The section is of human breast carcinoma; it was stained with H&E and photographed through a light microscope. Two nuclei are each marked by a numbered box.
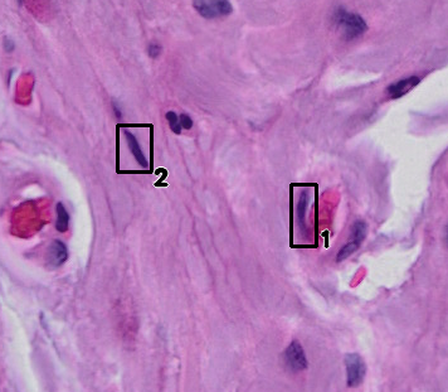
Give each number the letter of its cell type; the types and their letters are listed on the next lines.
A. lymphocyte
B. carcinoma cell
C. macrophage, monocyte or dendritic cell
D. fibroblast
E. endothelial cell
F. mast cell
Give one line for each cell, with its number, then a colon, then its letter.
1: E
2: D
